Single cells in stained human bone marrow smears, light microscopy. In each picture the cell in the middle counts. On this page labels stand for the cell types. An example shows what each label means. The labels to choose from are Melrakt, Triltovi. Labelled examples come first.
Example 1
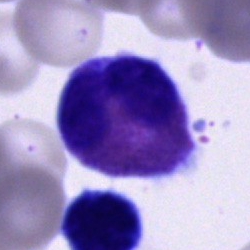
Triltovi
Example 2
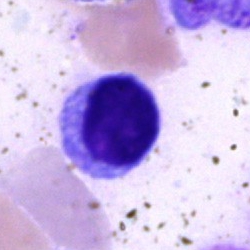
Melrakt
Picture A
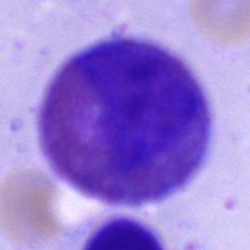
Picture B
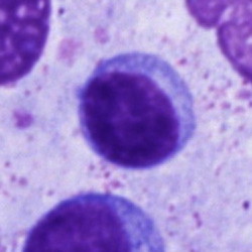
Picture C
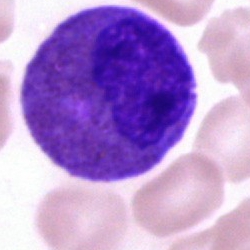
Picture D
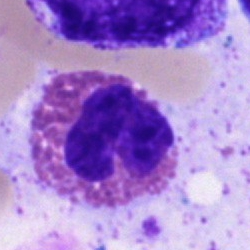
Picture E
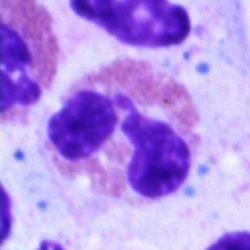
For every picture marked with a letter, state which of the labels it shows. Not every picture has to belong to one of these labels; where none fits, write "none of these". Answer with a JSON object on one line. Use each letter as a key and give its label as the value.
{"A": "Triltovi", "B": "Melrakt", "C": "Triltovi", "D": "Triltovi", "E": "Triltovi"}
